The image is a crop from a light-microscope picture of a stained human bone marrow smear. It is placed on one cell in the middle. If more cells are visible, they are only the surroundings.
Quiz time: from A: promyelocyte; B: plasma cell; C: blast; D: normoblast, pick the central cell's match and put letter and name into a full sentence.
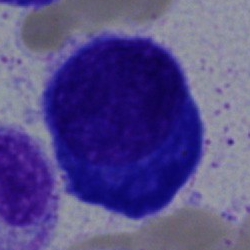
The central cell is a plasma cell, which makes option B the right answer.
